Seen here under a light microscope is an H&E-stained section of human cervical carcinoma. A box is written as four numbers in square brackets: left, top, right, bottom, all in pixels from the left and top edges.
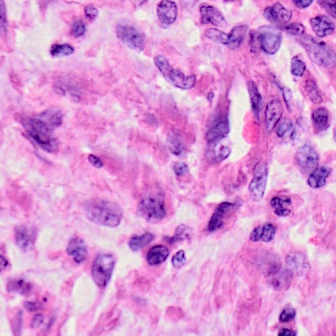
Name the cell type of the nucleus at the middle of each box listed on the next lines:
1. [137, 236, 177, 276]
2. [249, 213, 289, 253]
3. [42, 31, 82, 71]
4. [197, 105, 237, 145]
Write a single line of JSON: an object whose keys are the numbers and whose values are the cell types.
{"1": "lymphocyte", "2": "lymphocyte", "3": "lymphocyte", "4": "endothelial cell"}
